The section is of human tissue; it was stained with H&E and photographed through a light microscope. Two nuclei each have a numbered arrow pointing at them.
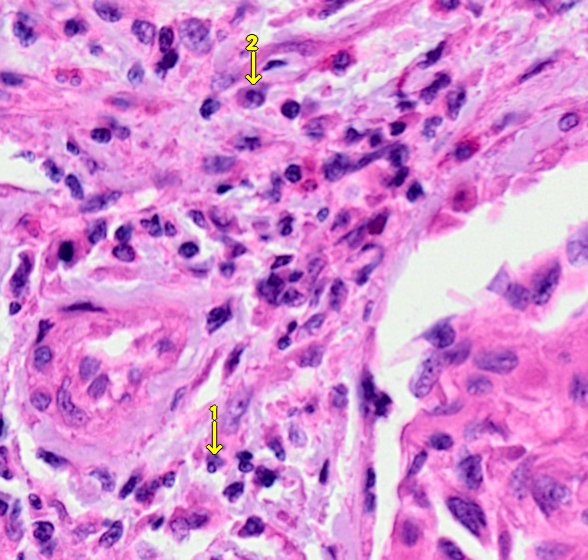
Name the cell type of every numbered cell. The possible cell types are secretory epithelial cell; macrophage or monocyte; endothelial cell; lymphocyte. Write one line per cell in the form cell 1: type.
cell 1: lymphocyte
cell 2: macrophage or monocyte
